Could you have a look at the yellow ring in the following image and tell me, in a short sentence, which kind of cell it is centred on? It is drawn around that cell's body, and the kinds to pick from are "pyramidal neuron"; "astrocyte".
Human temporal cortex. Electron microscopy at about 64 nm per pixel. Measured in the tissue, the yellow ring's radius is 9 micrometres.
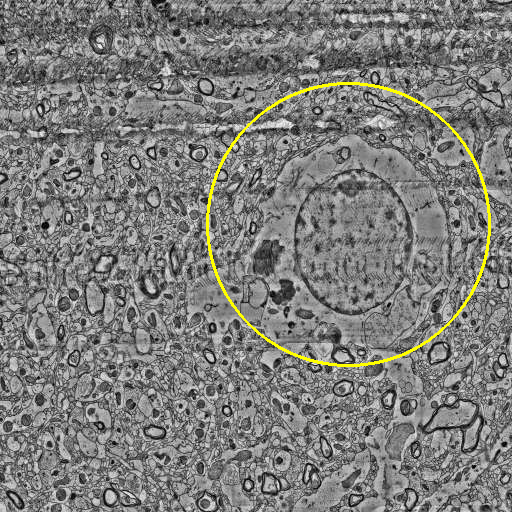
The ring is centred on the body of an astrocyte.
